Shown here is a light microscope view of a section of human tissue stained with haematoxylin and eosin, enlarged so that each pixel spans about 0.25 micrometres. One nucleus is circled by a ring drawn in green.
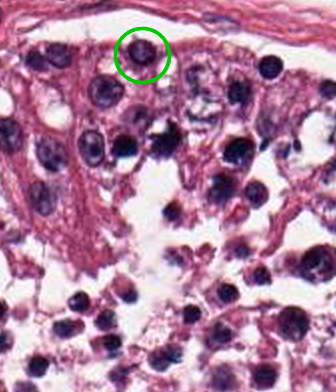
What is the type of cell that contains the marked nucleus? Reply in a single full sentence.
The marked nucleus here is the nucleus of a spermatogonium.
